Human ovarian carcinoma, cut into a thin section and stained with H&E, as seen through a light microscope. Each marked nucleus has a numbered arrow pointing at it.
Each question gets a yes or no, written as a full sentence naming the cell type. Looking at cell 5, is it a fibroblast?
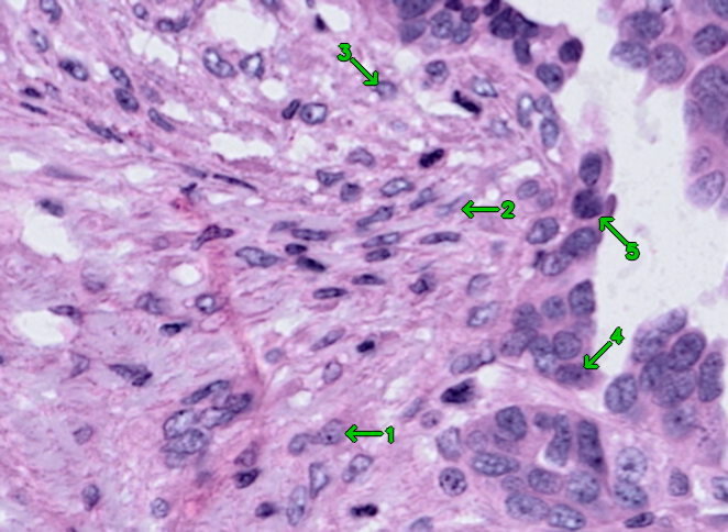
No, the marked cell 5 is not a fibroblast, being instead a carcinoma cell.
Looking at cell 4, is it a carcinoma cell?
Yes, that is so; number 4 marks a carcinoma cell.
